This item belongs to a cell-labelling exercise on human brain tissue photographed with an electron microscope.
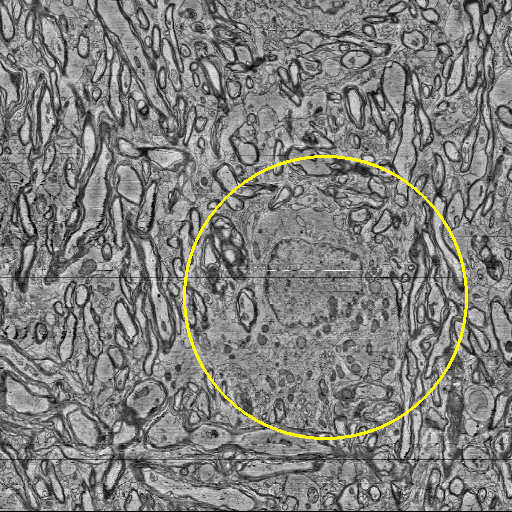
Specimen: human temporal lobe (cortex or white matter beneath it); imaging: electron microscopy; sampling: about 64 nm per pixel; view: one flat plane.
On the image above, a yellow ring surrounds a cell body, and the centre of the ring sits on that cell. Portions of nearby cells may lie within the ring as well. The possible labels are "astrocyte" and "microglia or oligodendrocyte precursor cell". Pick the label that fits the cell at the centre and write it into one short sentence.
This cell should be labelled as an astrocyte.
